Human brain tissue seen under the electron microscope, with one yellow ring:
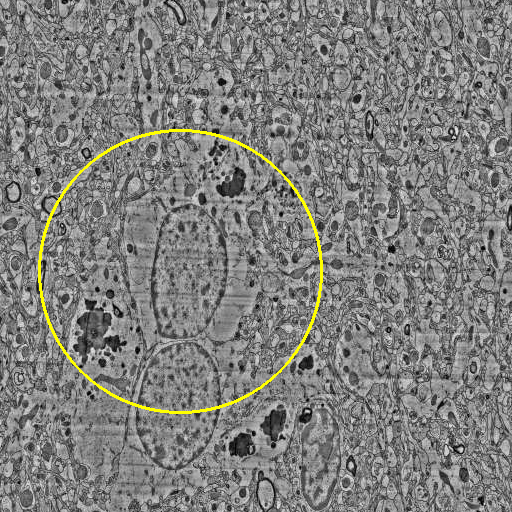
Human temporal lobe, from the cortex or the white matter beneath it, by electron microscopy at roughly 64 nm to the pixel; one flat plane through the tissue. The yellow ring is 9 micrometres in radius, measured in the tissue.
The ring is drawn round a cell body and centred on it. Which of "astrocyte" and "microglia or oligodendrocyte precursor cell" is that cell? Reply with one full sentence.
The picture shows an astrocyte at the very centre of the yellow ring.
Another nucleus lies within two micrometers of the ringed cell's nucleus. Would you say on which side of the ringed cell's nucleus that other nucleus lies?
The second nucleus lies below it.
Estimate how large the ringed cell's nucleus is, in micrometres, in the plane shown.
The nucleus is approximately 8 micrometres long but only about 5 wide, clearly longer than it is wide in this plane.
